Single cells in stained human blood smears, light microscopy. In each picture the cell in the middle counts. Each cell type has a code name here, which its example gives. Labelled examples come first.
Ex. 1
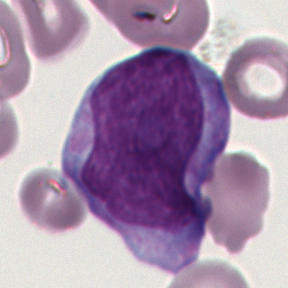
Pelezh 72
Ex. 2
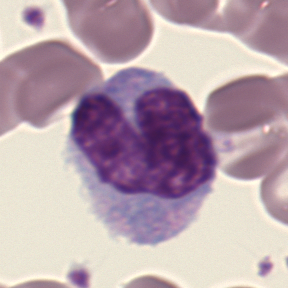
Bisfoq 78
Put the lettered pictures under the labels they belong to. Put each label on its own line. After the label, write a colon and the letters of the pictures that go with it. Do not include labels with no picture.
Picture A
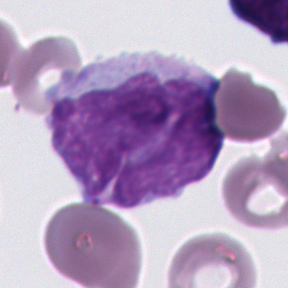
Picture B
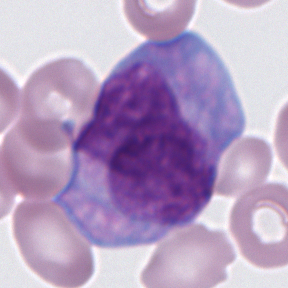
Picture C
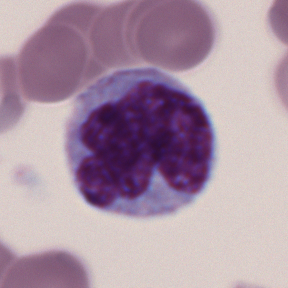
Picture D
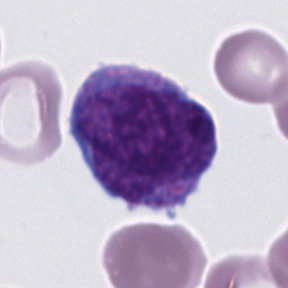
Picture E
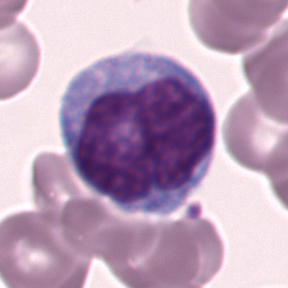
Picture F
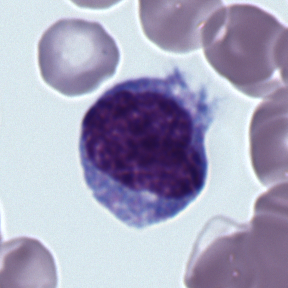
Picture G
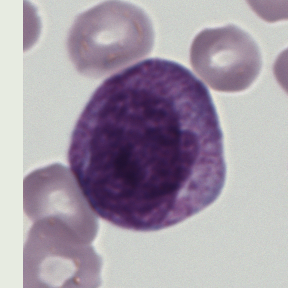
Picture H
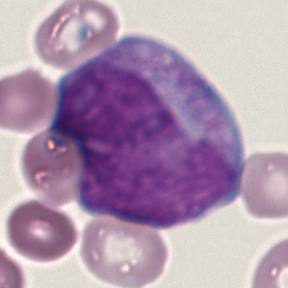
Pelezh 72: A, B, D, G, H
Bisfoq 78: C, E, F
